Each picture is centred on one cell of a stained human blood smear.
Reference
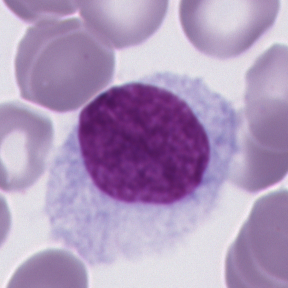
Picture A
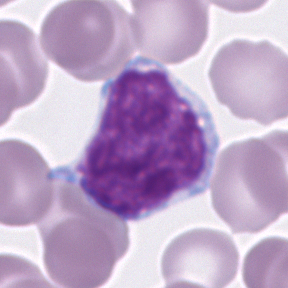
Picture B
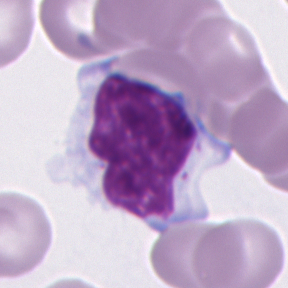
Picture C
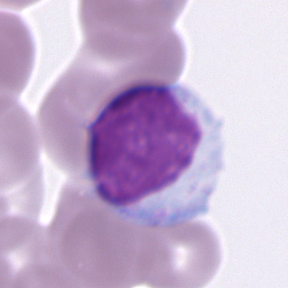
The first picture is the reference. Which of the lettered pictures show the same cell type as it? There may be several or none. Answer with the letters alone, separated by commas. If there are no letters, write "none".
none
